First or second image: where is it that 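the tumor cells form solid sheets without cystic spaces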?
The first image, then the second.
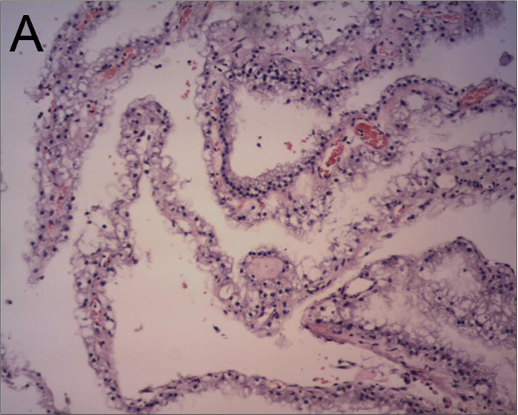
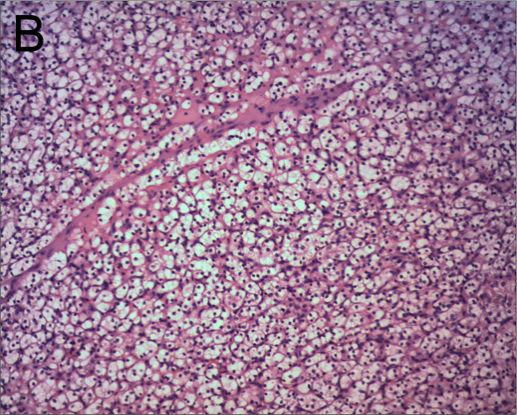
the second image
